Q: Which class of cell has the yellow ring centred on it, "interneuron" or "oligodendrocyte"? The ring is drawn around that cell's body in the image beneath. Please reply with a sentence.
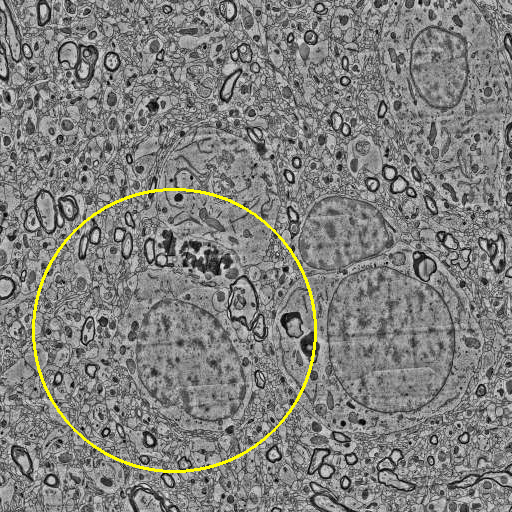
It is centred on an interneuron.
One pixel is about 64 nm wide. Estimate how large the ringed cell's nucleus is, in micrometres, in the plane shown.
In this plane the nucleus spans approximately 8 by 6 micrometers.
